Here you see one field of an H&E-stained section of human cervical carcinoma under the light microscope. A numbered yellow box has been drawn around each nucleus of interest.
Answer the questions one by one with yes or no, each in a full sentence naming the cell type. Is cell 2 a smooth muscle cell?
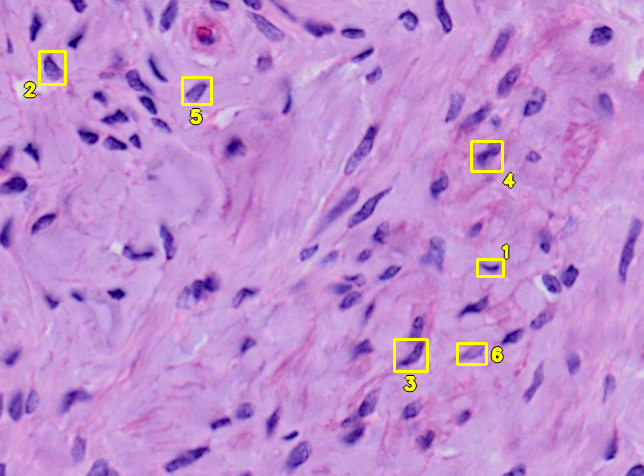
No, a fibroblast is what cell 2 is, not a smooth muscle cell.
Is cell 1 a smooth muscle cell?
No, the cell marked 1 is a fibroblast rather than a smooth muscle cell.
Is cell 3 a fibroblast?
No, cell 3 does not count as a fibroblast; it is a smooth muscle cell.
